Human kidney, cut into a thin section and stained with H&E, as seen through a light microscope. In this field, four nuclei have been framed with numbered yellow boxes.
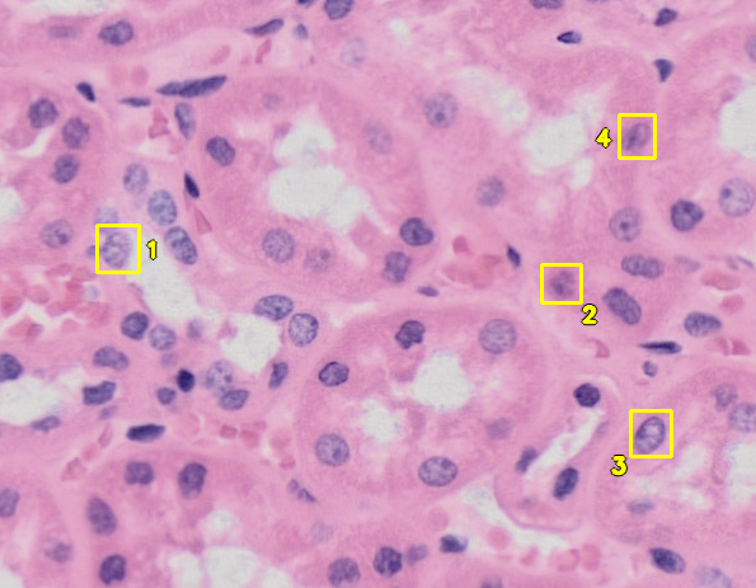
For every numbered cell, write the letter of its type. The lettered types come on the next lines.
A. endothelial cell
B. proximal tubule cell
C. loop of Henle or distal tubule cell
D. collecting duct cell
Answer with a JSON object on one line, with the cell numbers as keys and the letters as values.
{"1": "D", "2": "B", "3": "B", "4": "B"}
